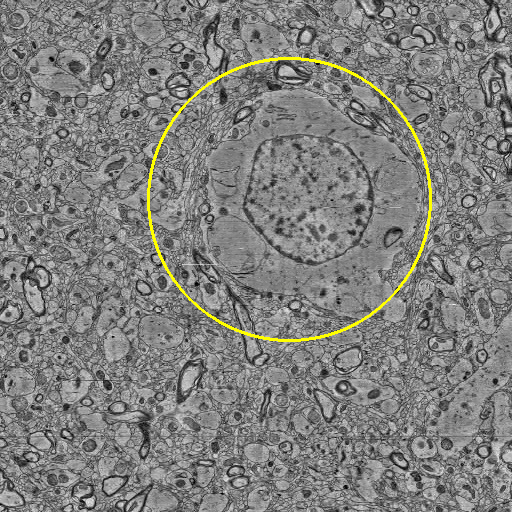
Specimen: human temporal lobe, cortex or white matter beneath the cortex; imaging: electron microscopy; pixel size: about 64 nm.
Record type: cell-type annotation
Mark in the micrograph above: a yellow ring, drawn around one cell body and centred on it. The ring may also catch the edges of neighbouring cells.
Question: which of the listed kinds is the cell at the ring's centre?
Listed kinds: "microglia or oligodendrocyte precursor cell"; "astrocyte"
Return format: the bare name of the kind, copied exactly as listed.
astrocyte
